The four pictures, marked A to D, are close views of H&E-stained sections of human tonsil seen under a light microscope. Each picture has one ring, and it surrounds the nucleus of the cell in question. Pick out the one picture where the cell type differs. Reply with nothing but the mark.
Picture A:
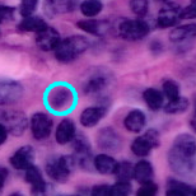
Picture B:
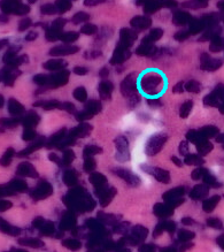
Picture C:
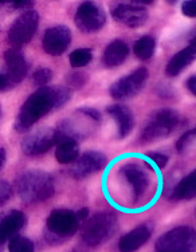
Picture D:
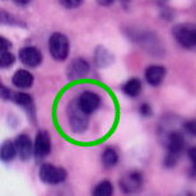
C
